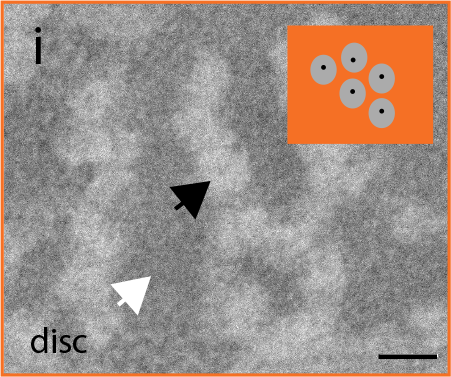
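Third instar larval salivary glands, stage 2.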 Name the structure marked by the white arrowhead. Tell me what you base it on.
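The white arrowhead points at darker grey material. Pale round profiles lie next to and within this darker material.
Answer: electron-dense matrix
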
